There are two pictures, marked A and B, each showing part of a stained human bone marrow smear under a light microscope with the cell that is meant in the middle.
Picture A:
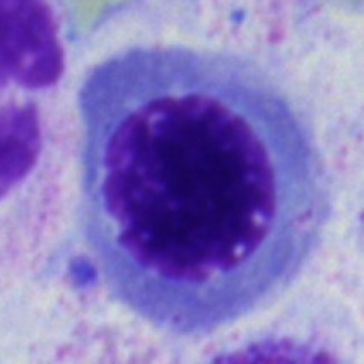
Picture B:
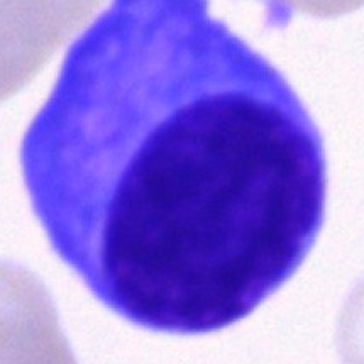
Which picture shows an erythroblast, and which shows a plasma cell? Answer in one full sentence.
Picture A shows an erythroblast and picture B shows a plasma cell.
